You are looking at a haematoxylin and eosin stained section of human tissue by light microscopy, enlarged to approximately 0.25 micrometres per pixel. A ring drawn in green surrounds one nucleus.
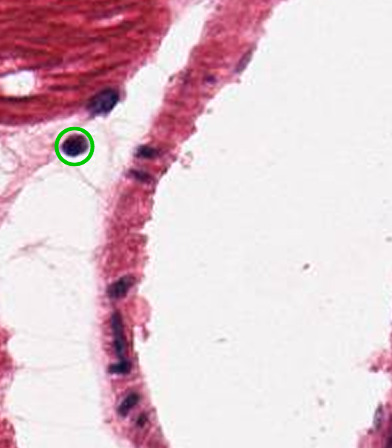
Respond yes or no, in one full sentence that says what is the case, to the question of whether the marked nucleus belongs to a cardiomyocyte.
No, the marked nucleus belongs to a supporting cell, not to a cardiomyocyte.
